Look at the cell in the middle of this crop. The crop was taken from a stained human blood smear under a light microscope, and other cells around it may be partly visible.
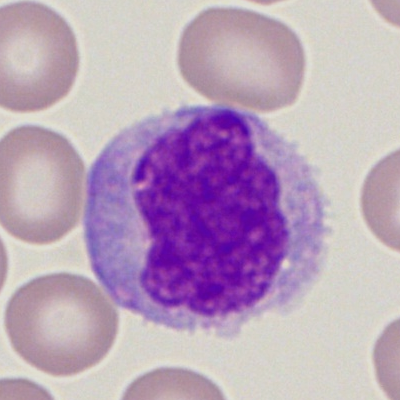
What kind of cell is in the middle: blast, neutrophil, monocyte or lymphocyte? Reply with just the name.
monocyte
